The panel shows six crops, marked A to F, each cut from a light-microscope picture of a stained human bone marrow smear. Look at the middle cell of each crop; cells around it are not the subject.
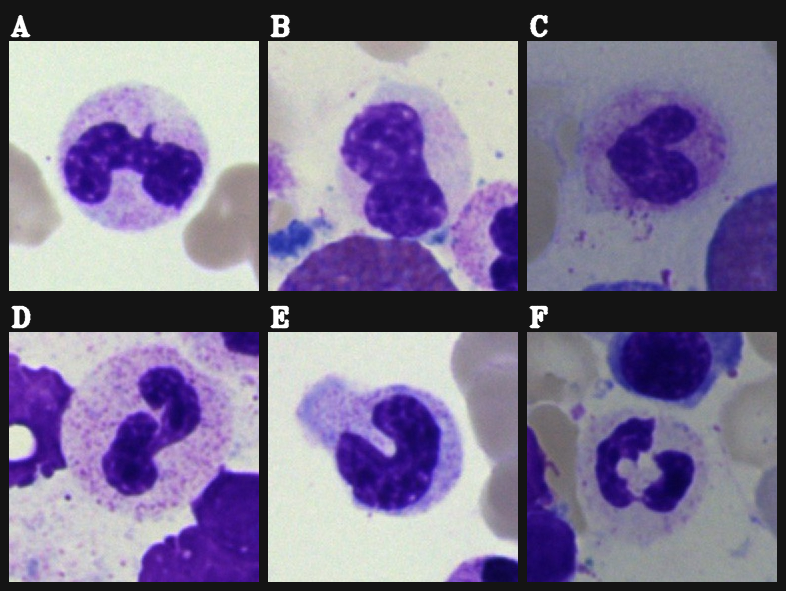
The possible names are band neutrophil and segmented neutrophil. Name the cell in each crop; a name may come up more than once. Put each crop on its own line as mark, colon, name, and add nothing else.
A: band neutrophil
B: band neutrophil
C: segmented neutrophil
D: segmented neutrophil
E: band neutrophil
F: segmented neutrophil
